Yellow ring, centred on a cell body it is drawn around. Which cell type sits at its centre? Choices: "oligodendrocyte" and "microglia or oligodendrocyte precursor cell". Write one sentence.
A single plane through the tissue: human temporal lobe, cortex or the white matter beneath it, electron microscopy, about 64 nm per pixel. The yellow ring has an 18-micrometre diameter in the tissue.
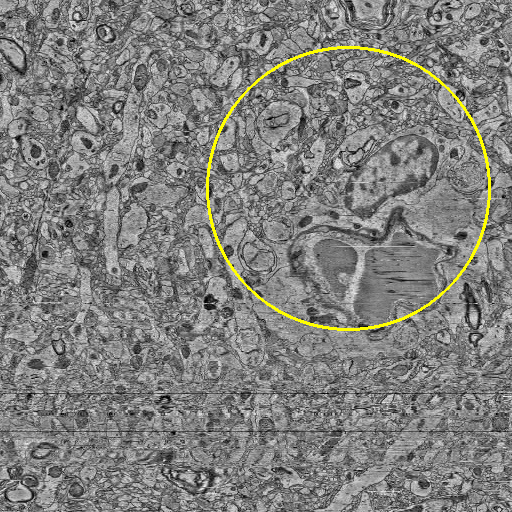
At the centre of the ring sits a microglial cell or oligodendrocyte precursor cell.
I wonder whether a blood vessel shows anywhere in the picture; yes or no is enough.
Yes.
